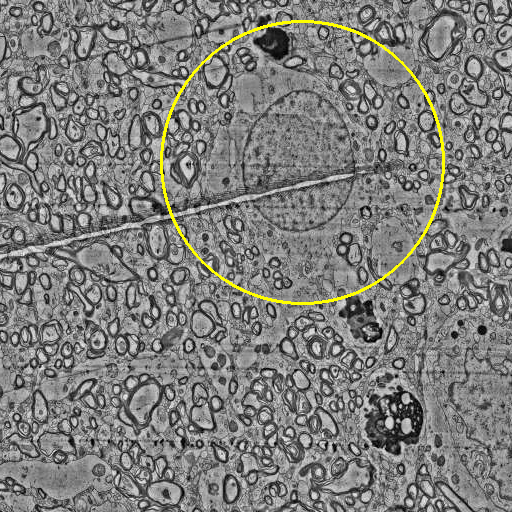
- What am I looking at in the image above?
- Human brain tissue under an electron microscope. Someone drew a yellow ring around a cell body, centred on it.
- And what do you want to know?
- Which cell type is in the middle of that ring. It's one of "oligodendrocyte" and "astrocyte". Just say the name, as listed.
astrocyte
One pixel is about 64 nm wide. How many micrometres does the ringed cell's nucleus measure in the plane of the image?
Approximately 9 micrometres long and 7 micrometres wide, in this plane.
